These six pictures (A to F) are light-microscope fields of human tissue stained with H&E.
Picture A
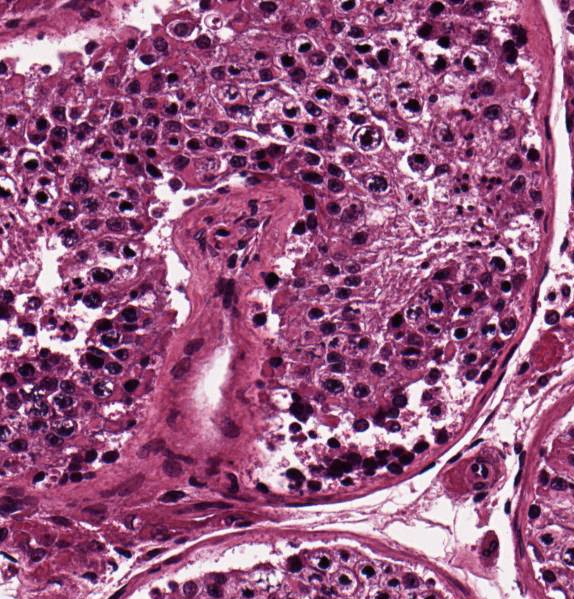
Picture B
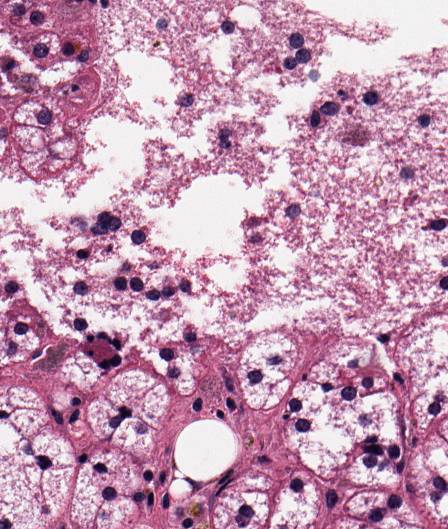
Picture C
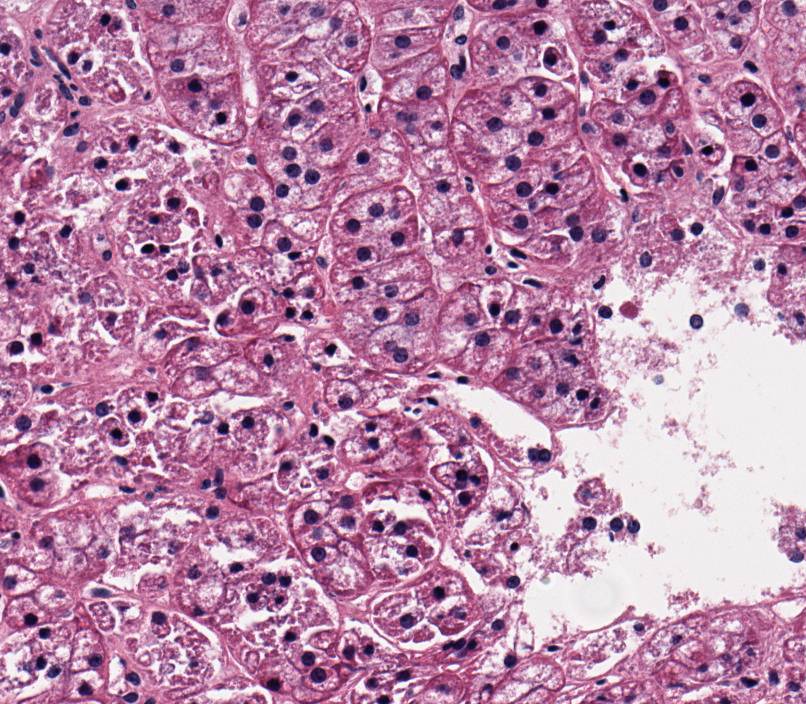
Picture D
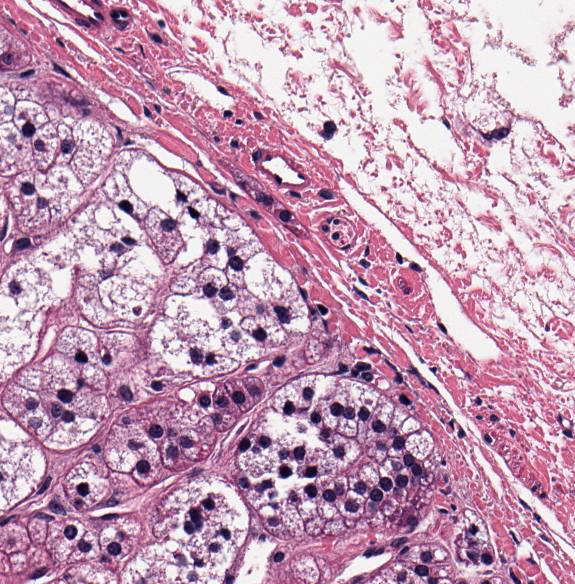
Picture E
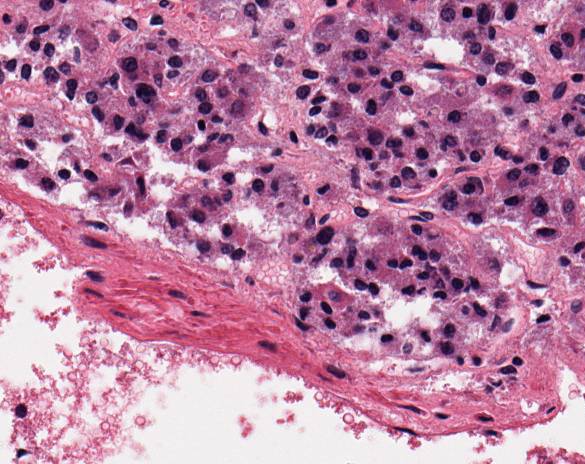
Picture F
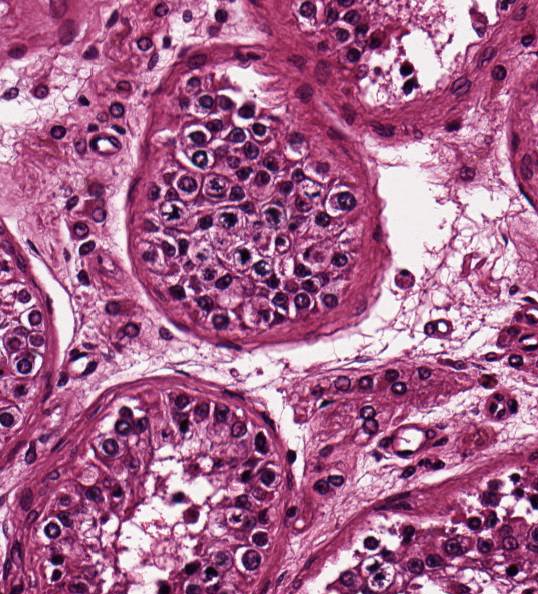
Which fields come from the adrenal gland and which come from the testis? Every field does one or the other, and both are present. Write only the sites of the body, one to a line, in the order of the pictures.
testis
adrenal gland
adrenal gland
adrenal gland
adrenal gland
testis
